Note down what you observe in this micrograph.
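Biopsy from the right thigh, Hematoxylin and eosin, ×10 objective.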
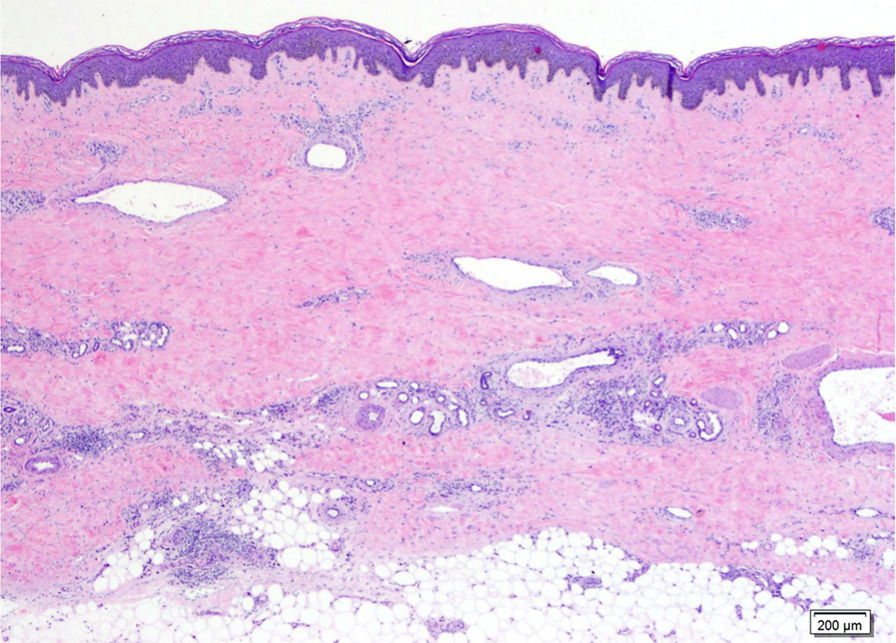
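This skin section shows an epidermis with regular rete ridges over a broad dermis that is filled throughout with dense, closely packed pink collagen. Several dilated, thin-walled, empty blood vessels lie in the upper and mid dermis. Small clusters of dark round lymphocyte nuclei gather around vessels in the superficial and deep dermis and around the coils of sweat glands in the lower dermis. The sweat glands sit within dense collagen with little surrounding fat, and the subcutaneous fat lies beneath them at the bottom of the section.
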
